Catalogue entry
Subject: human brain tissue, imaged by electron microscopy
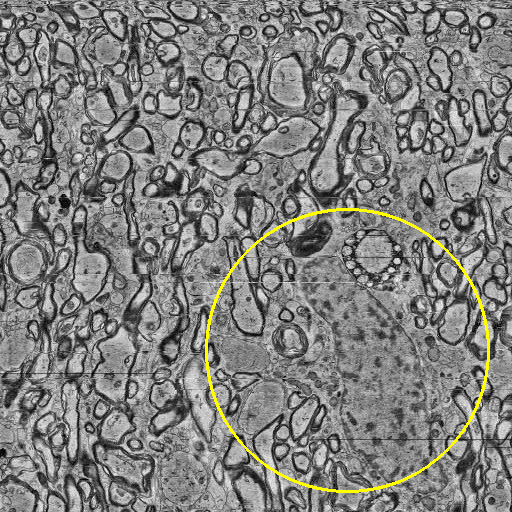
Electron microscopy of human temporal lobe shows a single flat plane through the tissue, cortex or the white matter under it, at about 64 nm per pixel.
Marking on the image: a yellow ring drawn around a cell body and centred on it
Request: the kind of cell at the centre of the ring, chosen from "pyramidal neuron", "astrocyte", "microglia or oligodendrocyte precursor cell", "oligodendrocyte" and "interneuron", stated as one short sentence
The ring has an astrocyte at its centre.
